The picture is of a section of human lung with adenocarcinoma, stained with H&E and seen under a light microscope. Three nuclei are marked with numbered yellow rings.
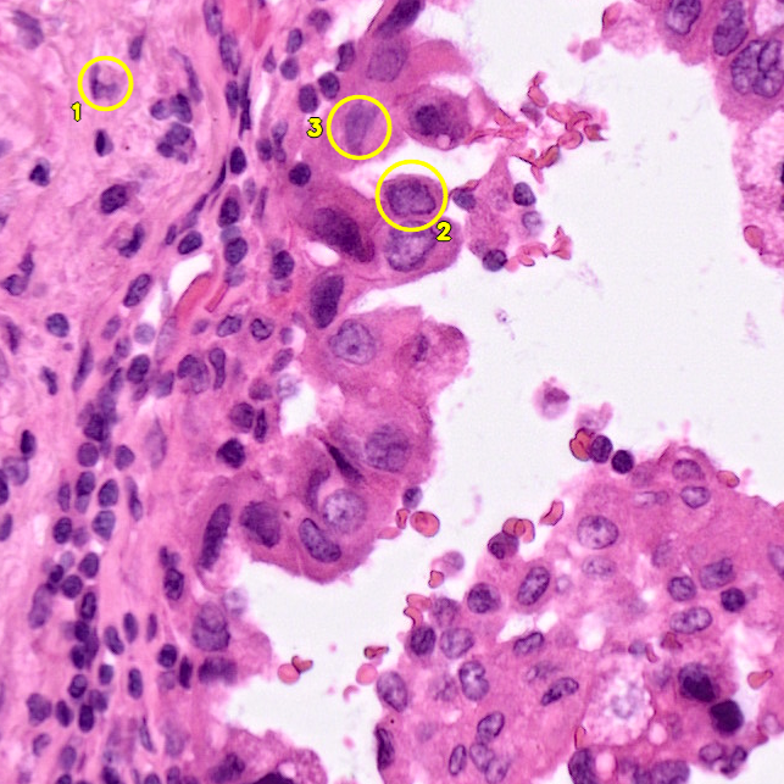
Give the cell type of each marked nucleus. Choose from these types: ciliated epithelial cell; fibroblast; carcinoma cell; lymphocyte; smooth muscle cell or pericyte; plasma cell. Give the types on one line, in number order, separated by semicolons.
fibroblast; carcinoma cell; carcinoma cell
